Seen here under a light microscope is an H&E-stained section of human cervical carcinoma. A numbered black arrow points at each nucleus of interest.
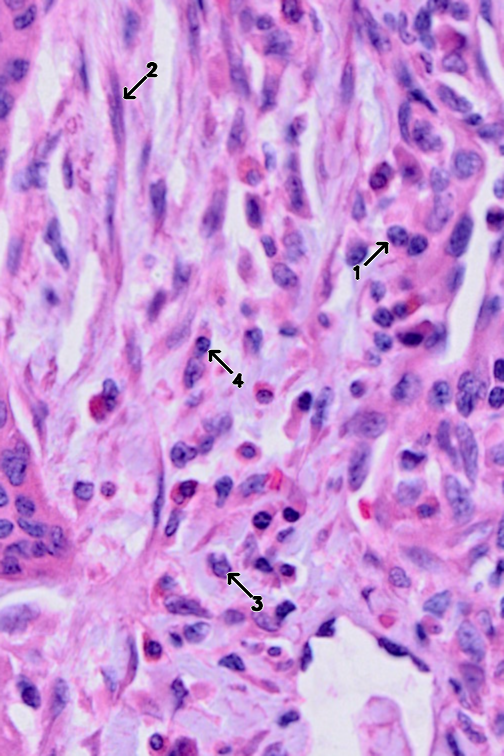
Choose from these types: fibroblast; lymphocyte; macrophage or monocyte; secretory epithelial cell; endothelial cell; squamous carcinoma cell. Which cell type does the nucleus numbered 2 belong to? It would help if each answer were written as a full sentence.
Here the cell numbered 2 is a fibroblast.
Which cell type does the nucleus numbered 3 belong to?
The numbered cell 3 is identified here as a macrophage or monocyte.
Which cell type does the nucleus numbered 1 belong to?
The marked cell with the number 1 is recognised as a lymphocyte.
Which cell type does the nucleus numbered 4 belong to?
The cell indicated with the number 4 is classed as a lymphocyte.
